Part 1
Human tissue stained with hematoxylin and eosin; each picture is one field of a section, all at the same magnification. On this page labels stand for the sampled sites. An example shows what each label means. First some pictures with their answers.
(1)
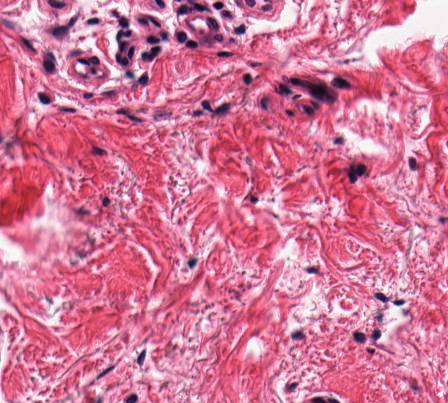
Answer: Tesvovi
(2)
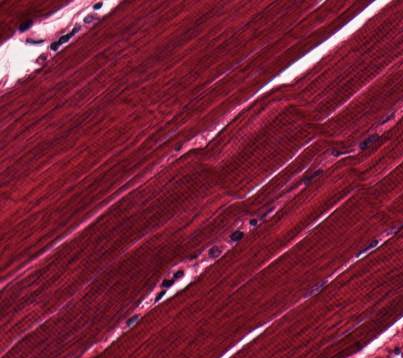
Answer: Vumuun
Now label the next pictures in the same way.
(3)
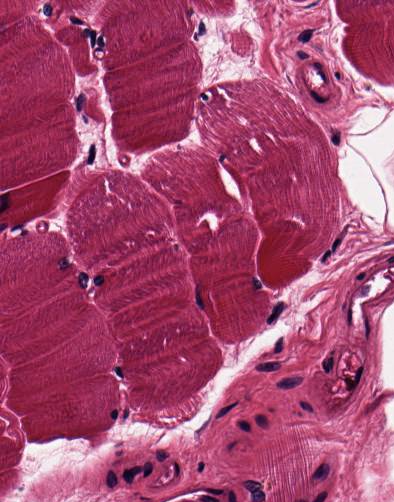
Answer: Vumuun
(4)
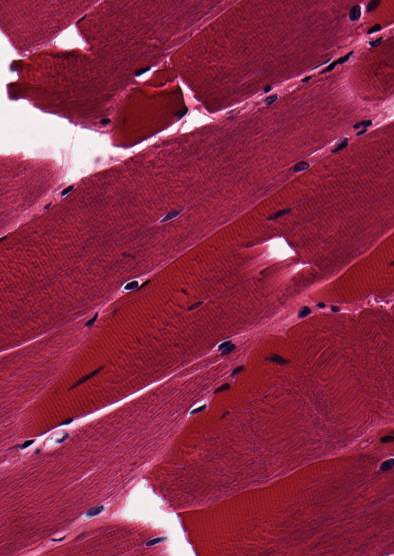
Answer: Vumuun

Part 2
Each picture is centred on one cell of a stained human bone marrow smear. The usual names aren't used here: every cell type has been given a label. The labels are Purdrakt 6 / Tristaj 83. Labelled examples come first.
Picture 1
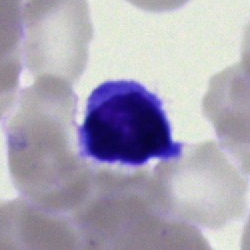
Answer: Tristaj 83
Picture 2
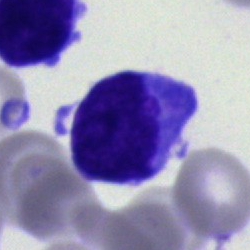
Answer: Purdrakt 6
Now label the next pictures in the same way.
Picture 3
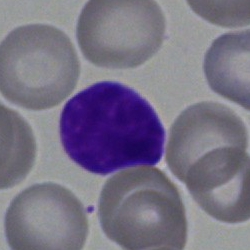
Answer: Tristaj 83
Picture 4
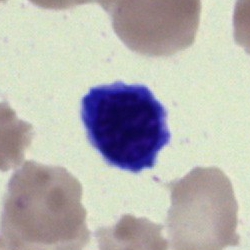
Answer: Tristaj 83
